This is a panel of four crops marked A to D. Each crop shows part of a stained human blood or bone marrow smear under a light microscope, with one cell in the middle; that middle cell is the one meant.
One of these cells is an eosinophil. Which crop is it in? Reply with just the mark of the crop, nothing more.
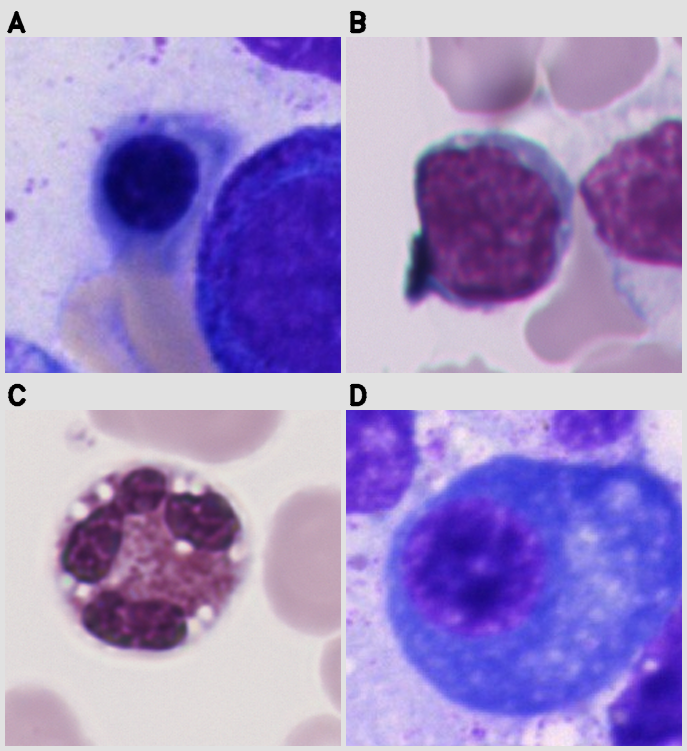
C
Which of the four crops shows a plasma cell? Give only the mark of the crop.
D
